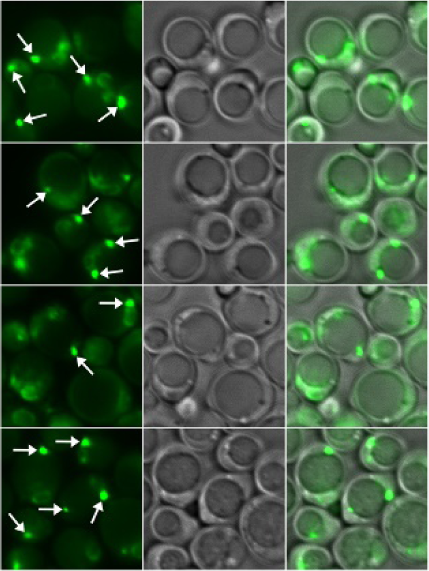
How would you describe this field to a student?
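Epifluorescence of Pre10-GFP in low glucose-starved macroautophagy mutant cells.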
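Round yeast-like cells in rows of three tiles: green fluorescence, bright field, overlay. Most cells carry one or two small, intensely bright green dots, marked by white arrows, lying at the cell periphery close to the cell edge, against faint diffuse green elsewhere. Bright-field tiles show thick smooth cell walls and, in some cells, a large pale round compartment; in the lowest row the cells appear granular with many small dots inside. The overlay places the bright dots at the inner margin of the cell outline, outside the large central compartment.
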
